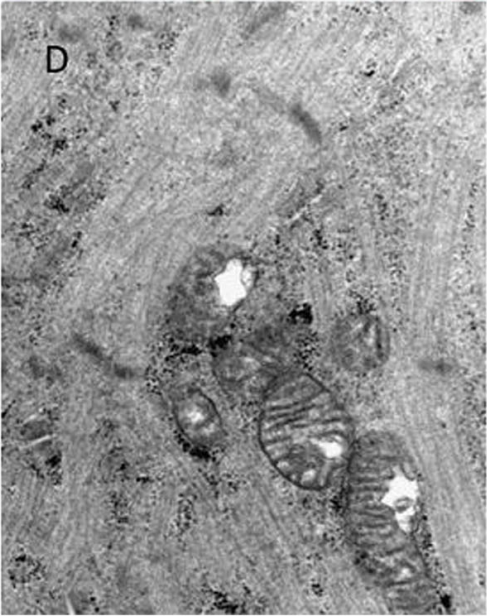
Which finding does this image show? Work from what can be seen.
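Enlarged mitochondria with abnormal cristae. Several large oval membrane-bound organelles lie among myofilaments. Their inner folds are irregular, with pale empty spaces inside.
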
